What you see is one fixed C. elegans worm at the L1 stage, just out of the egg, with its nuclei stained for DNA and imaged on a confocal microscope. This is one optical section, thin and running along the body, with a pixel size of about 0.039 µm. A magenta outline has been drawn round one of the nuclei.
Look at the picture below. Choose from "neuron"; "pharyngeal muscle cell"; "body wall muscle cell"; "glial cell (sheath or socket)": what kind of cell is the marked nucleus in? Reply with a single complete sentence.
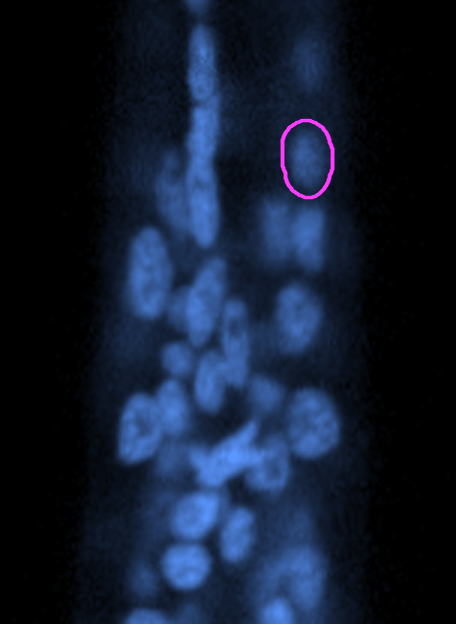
This is the nucleus of a glial cell (sheath or socket).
